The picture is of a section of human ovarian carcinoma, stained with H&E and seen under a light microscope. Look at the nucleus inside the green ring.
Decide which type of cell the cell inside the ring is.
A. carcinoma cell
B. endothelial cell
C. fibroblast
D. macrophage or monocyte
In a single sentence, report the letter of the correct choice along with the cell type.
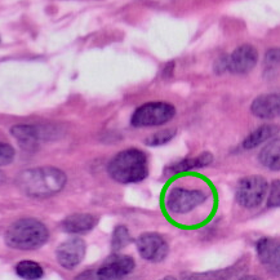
Option D, identifying the cell inside the ring as a macrophage or monocyte, is correct.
